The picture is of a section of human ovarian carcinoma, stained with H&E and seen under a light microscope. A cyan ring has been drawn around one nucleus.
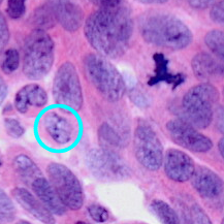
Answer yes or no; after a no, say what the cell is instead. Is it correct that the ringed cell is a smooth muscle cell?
No, it is a macrophage or monocyte.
